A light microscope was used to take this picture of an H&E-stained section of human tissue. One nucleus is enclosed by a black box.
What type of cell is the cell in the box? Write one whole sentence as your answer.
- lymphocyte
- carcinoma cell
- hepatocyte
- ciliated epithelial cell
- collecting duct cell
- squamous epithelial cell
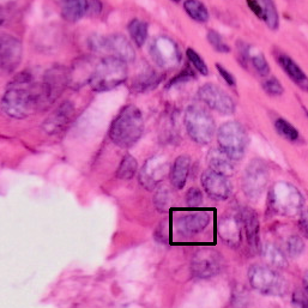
In cellular terms, the cell in the box is a ciliated epithelial cell.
